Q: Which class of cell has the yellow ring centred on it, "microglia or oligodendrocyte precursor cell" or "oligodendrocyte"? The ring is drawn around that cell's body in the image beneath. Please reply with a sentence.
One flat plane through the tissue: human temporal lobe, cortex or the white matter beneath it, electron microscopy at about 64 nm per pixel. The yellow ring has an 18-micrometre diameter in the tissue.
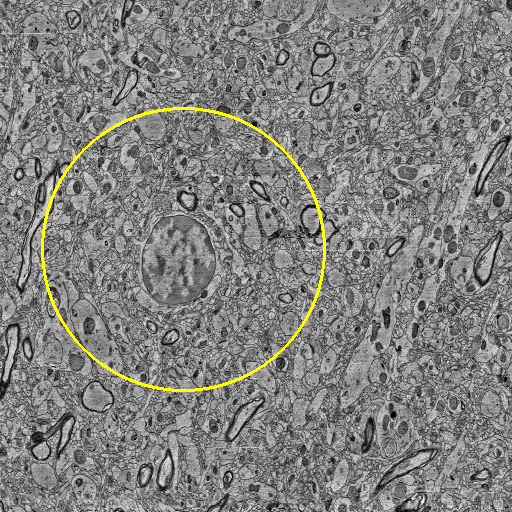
It is centred on a microglial cell or oligodendrocyte precursor cell.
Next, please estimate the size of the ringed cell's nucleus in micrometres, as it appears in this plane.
In this plane the nucleus spans approximately 6 by 5 micrometers.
